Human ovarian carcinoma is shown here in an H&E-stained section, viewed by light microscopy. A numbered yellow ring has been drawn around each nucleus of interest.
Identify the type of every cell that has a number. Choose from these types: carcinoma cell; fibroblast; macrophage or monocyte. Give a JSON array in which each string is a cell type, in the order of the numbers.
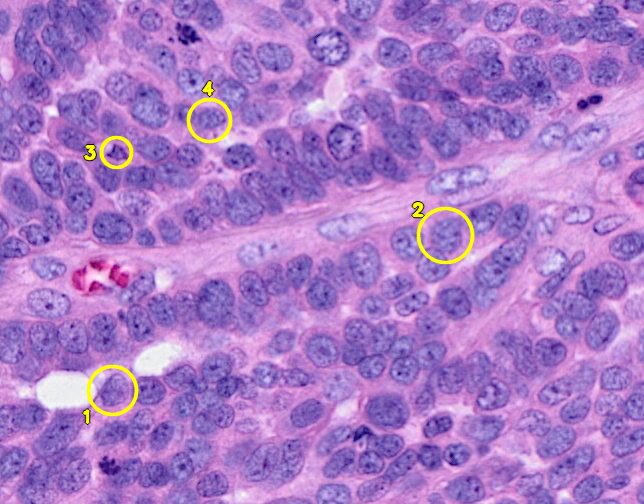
["carcinoma cell", "carcinoma cell", "macrophage or monocyte", "carcinoma cell"]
